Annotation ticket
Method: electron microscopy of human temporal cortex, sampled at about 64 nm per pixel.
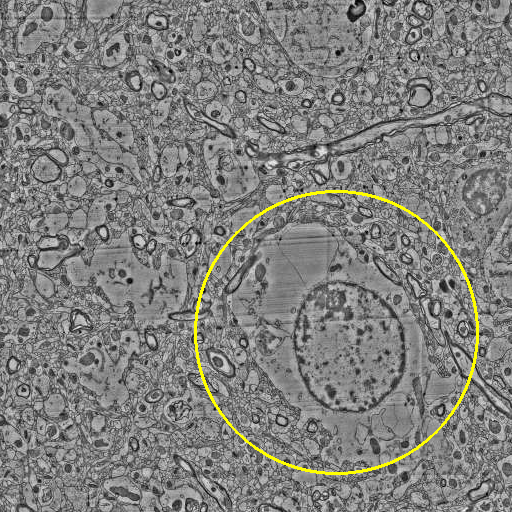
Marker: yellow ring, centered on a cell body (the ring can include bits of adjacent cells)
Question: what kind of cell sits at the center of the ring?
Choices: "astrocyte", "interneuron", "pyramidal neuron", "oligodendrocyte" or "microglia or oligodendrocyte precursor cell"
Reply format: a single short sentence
The ring is centered on an astrocyte.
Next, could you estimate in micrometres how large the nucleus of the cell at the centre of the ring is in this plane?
The nucleus appears roughly 9 by 7 micrometres in this plane.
